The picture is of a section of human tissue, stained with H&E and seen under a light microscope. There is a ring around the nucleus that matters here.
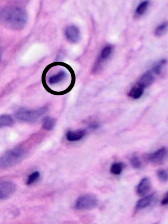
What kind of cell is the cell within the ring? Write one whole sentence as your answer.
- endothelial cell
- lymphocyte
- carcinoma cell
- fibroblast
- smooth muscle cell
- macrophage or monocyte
Students should answer that the cell within the ring is a lymphocyte.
